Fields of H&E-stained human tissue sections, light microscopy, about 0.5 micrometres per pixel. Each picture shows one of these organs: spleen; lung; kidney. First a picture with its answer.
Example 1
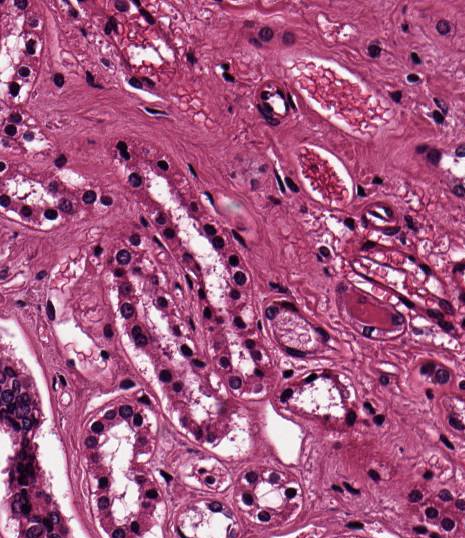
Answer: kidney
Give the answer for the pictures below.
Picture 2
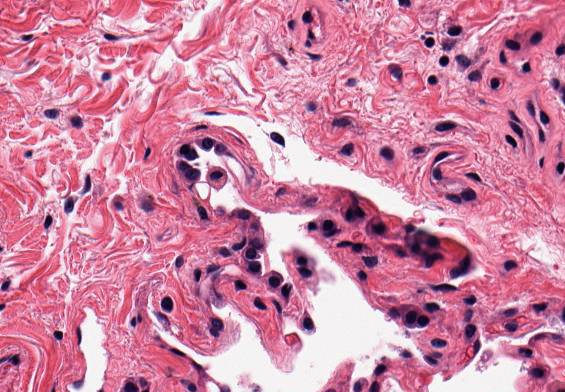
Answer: lung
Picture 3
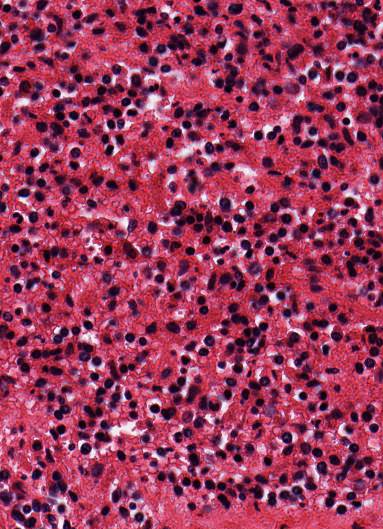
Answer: spleen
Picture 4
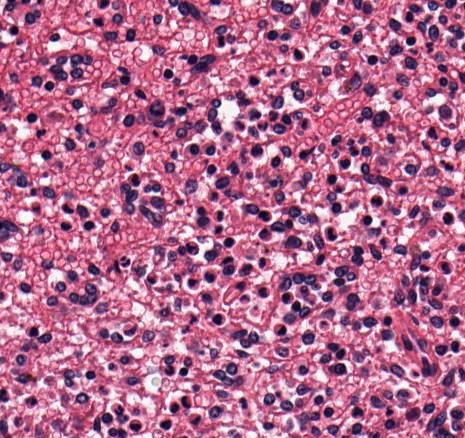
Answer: spleen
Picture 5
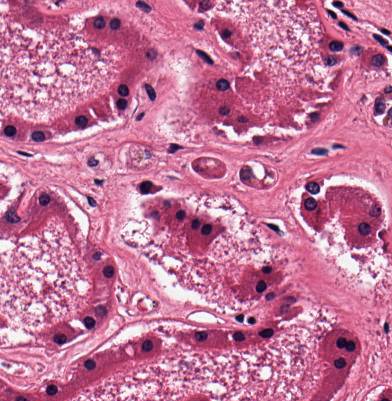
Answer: kidney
